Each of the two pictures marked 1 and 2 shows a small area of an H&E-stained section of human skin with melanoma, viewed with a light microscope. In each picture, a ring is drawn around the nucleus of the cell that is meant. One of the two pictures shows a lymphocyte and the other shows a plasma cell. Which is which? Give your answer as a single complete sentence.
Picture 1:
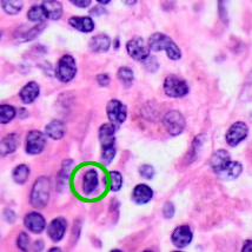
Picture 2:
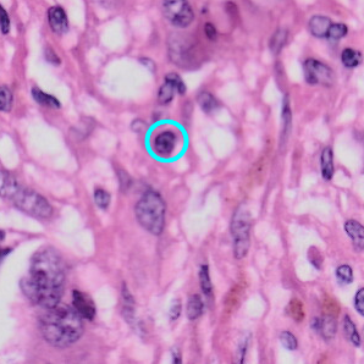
It is picture 1 that shows a lymphocyte, and picture 2 that shows a plasma cell.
